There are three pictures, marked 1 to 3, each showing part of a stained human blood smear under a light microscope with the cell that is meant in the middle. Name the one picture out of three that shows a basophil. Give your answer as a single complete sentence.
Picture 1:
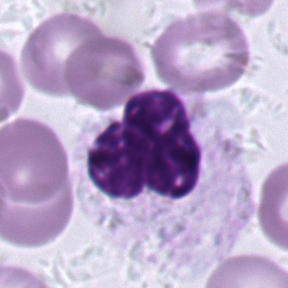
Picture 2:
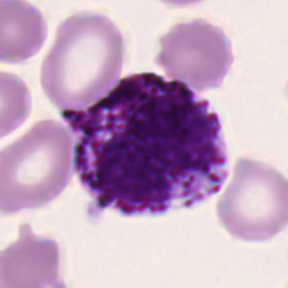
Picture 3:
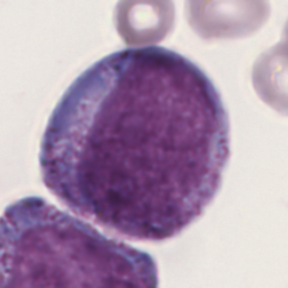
Picture 2 shows the basophil.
